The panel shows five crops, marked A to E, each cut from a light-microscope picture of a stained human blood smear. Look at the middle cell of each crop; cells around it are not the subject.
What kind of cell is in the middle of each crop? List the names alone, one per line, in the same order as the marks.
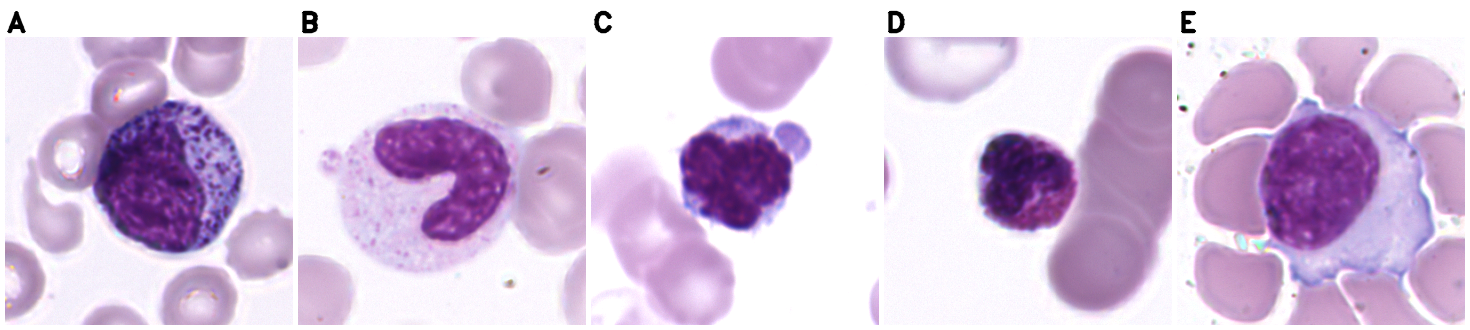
myelocyte
band neutrophil
typical lymphocyte
eosinophil
plasma cell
